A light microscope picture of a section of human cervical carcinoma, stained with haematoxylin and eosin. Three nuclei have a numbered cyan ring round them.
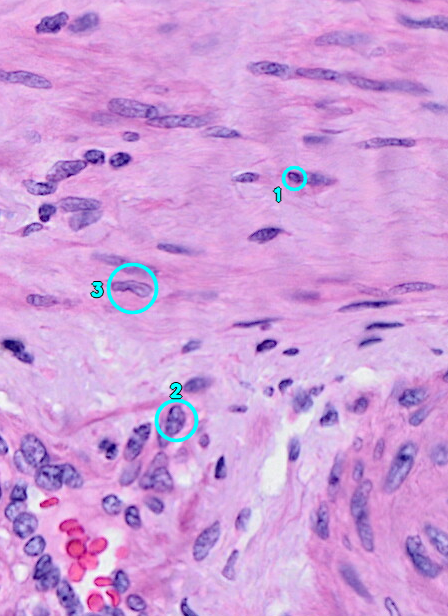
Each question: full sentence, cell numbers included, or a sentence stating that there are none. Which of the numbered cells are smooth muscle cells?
Within this tissue, the cells numbered 1 and 3 are smooth muscle cells.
